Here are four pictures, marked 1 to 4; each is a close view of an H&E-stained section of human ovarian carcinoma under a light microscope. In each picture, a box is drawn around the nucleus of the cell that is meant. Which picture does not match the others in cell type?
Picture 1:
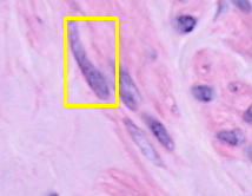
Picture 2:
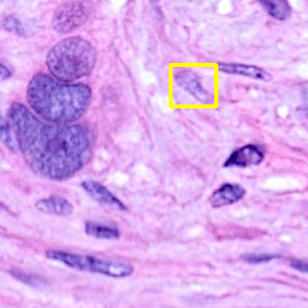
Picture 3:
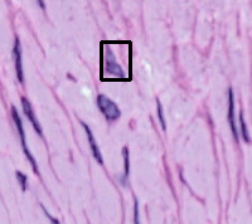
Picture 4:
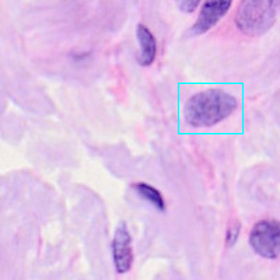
1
